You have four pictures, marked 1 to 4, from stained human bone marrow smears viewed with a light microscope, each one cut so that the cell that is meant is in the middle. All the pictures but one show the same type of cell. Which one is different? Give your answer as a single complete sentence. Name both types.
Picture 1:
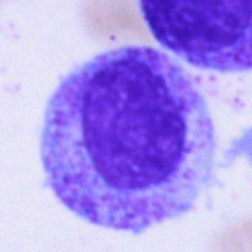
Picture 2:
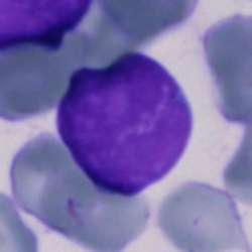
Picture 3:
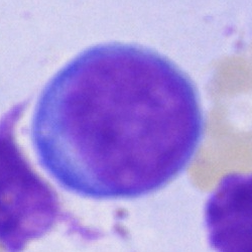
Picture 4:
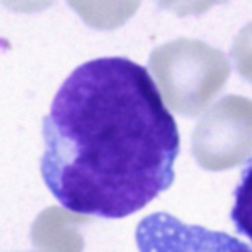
The different one is picture 1; it shows a promyelocyte, whereas all the others show blasts.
